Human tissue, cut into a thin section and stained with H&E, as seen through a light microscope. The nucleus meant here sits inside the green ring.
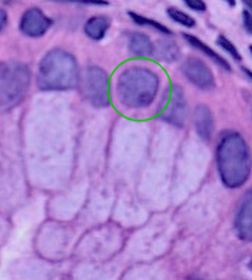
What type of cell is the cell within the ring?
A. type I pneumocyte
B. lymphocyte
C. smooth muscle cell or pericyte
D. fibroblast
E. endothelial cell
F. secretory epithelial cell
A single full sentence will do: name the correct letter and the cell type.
It is option F that is correct, the cell within the ring being a secretory epithelial cell.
